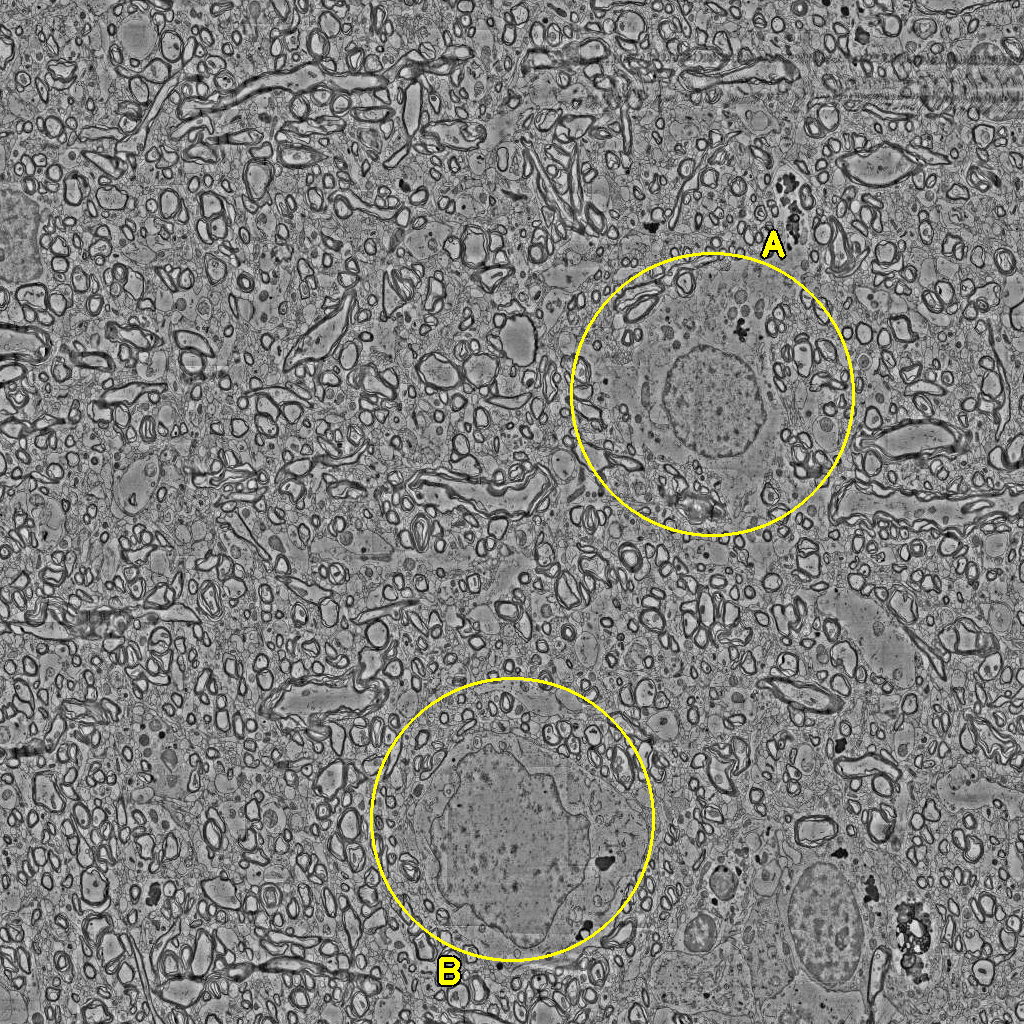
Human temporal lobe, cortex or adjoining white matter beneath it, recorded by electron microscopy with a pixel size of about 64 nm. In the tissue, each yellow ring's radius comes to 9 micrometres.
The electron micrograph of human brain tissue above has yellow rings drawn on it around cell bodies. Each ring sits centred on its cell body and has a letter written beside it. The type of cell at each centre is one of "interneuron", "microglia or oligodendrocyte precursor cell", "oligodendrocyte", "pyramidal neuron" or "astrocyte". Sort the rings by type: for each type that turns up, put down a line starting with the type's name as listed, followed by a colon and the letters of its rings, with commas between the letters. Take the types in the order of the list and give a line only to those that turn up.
pyramidal neuron: B
astrocyte: A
